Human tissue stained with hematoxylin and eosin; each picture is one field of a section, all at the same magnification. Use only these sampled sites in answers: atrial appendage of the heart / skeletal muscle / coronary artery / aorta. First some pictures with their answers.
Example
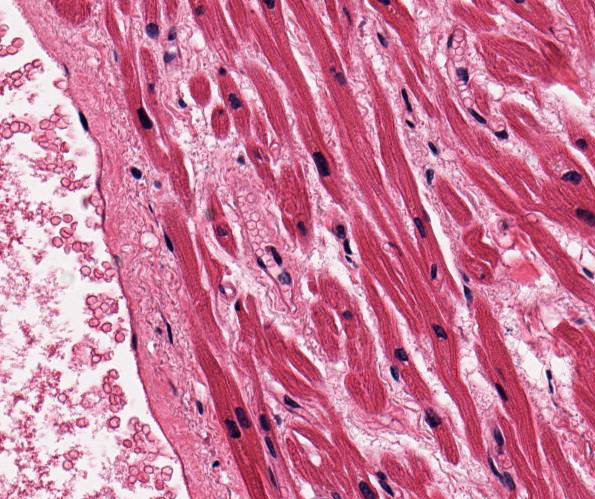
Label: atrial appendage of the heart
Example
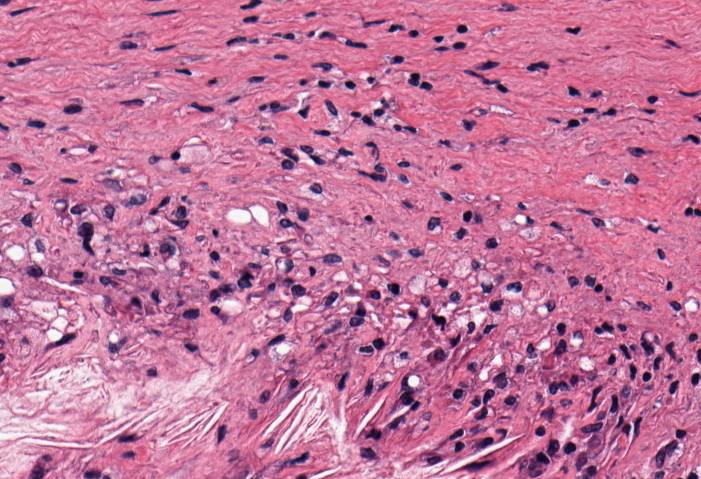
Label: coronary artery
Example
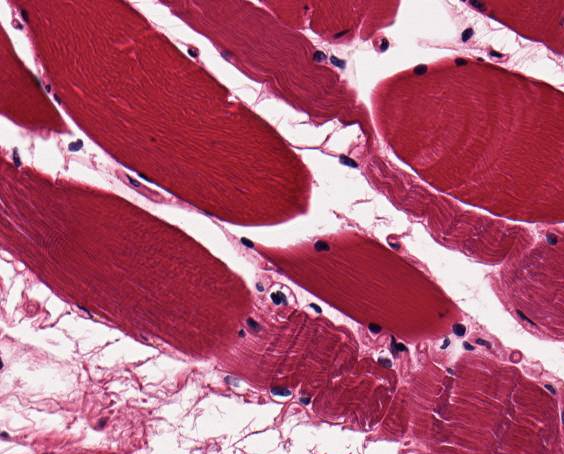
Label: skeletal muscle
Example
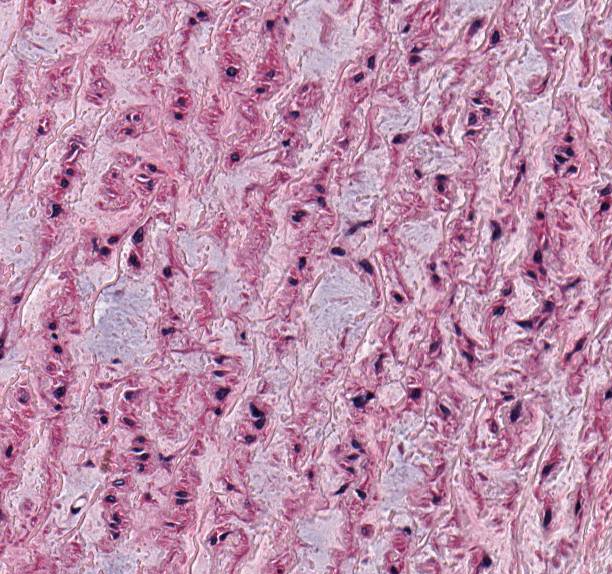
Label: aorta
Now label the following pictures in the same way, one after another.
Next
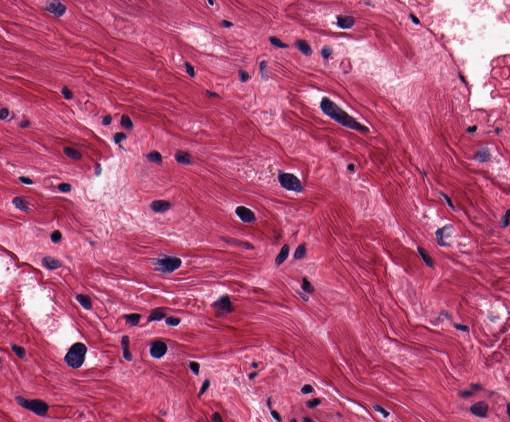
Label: atrial appendage of the heart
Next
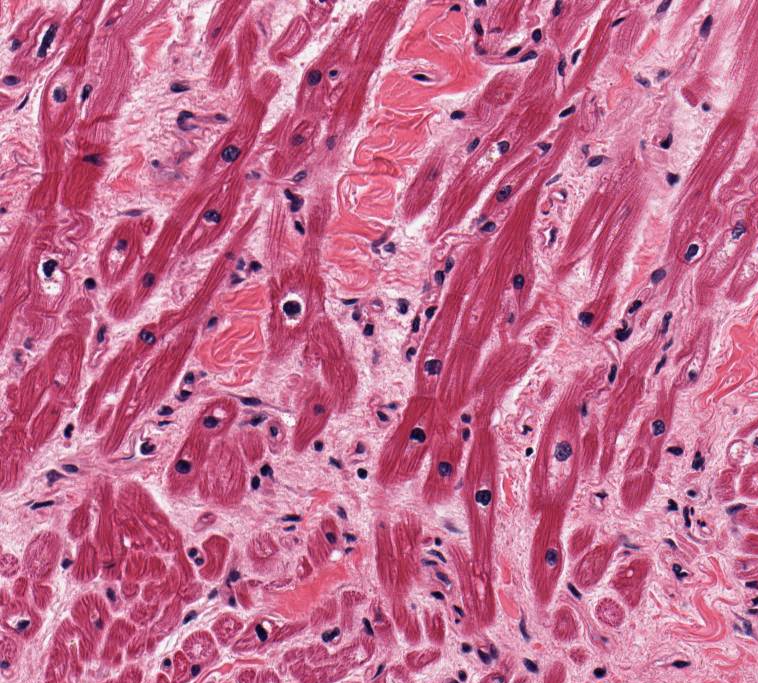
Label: atrial appendage of the heart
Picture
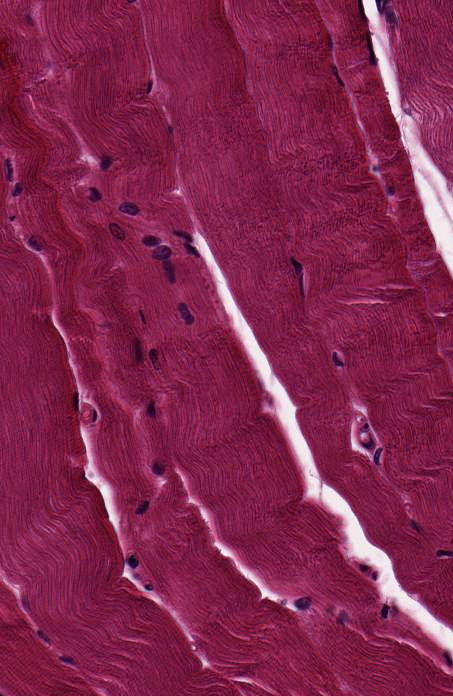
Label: skeletal muscle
